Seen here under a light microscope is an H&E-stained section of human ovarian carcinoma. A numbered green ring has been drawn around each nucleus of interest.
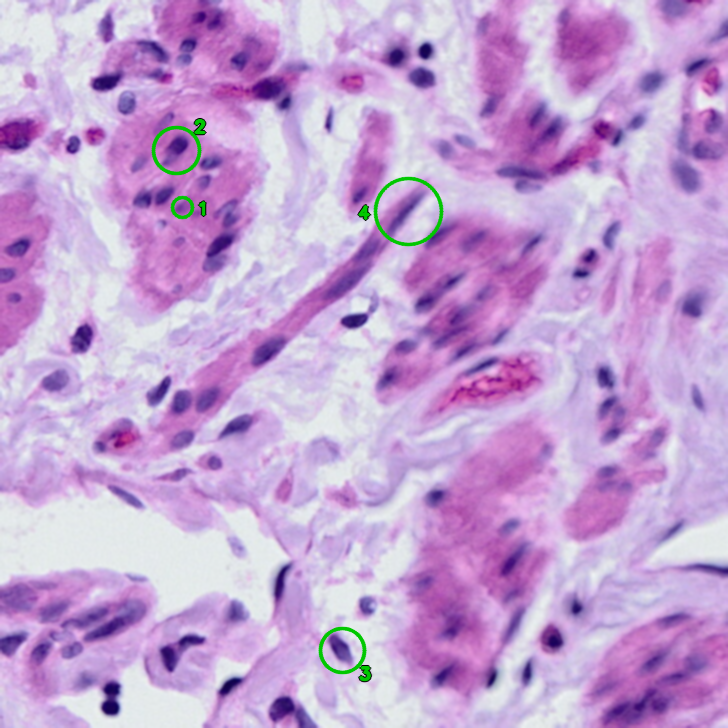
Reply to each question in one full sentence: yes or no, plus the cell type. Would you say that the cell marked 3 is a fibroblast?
Yes, the cell carrying number 3 is a fibroblast.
